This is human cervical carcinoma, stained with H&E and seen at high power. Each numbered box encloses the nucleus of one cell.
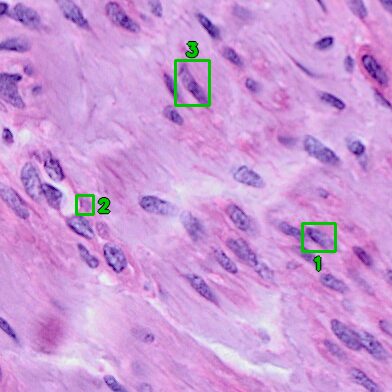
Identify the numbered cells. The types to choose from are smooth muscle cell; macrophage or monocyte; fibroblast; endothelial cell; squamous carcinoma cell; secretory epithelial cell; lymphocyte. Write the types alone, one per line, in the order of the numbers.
smooth muscle cell
endothelial cell
smooth muscle cell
